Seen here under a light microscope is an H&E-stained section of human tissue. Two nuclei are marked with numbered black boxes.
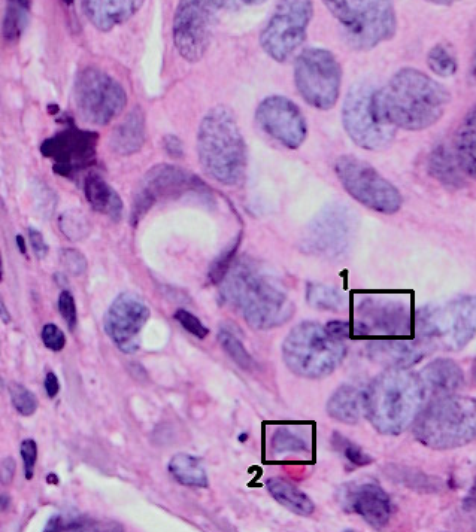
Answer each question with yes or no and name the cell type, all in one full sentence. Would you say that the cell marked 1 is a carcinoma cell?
Yes, the numbered cell 1 is identified as a carcinoma cell.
